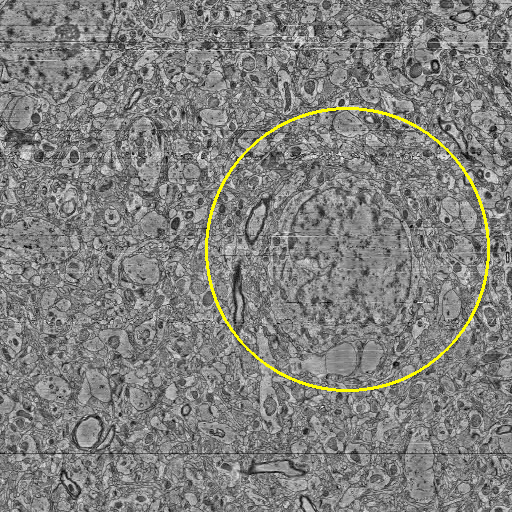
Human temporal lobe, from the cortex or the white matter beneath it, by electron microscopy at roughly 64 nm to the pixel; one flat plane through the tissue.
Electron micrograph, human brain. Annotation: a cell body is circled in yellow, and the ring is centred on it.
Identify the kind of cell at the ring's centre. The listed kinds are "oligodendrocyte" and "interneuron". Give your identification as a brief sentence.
The circled cell body is that of an interneuron.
